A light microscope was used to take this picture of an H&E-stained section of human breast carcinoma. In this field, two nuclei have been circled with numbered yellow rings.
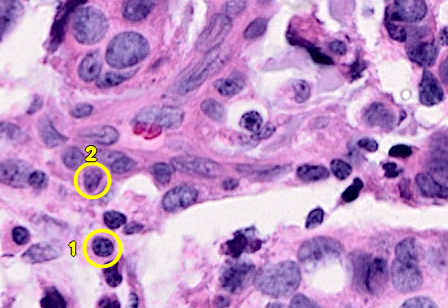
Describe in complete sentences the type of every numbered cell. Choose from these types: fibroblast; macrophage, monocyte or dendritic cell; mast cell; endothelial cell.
Cell 1 is a mast cell and cell 2 is an endothelial cell.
